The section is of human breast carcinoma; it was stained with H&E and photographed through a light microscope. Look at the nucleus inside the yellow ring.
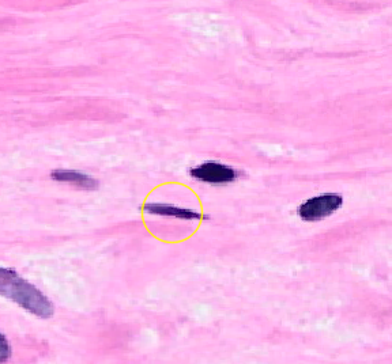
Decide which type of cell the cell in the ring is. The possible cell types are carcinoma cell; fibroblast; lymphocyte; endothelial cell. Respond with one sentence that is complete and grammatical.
In the context of this tissue, the cell in the ring is a fibroblast.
